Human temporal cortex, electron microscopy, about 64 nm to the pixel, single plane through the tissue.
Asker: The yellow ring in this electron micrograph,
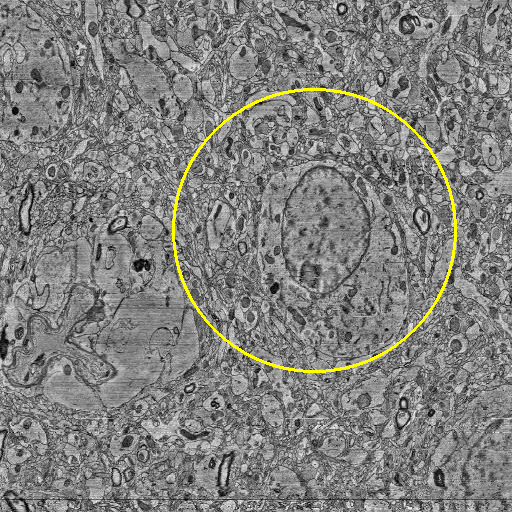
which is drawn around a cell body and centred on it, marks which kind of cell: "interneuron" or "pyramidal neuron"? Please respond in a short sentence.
The marked cell is a pyramidal neuron.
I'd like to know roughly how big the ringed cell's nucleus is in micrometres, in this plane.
In this plane, roughly 8 by 6 micrometres.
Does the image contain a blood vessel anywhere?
Yes, a blood vessel can be seen.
